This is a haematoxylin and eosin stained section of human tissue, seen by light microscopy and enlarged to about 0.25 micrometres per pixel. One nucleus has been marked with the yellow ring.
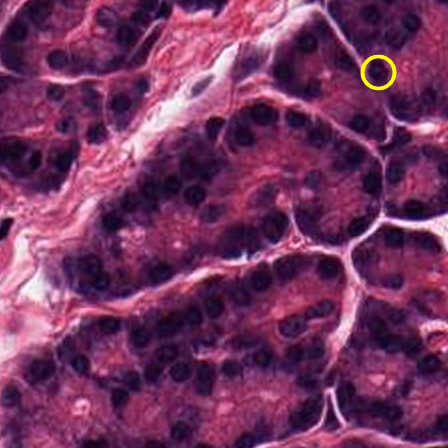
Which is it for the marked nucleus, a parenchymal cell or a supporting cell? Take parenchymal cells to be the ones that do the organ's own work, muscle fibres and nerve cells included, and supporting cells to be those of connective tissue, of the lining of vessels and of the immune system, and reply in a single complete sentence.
The parenchymal cell containing the marked nucleus is a pancreatic acinar cell.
